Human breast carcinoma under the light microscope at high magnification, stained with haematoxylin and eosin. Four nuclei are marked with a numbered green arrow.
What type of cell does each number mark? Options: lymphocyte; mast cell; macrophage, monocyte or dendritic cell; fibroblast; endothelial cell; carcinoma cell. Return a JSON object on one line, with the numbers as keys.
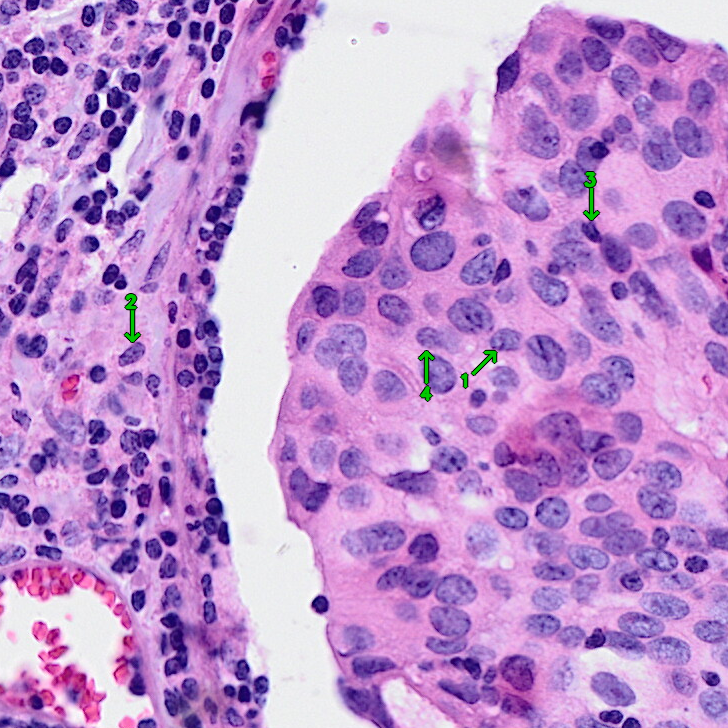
{"1": "carcinoma cell", "2": "mast cell", "3": "lymphocyte", "4": "carcinoma cell"}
